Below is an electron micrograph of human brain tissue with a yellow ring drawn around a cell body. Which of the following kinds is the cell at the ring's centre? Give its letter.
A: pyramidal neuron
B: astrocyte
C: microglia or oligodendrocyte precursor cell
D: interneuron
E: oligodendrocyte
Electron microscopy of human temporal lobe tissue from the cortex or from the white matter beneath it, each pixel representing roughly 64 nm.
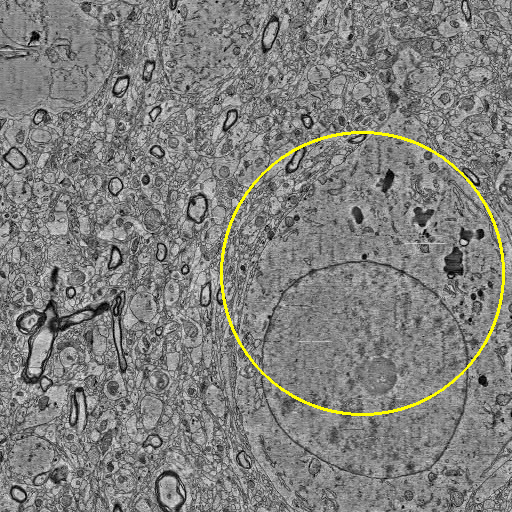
A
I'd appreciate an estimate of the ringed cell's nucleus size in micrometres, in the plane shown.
In this plane, the nucleus measures approximately 14 micrometres across.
